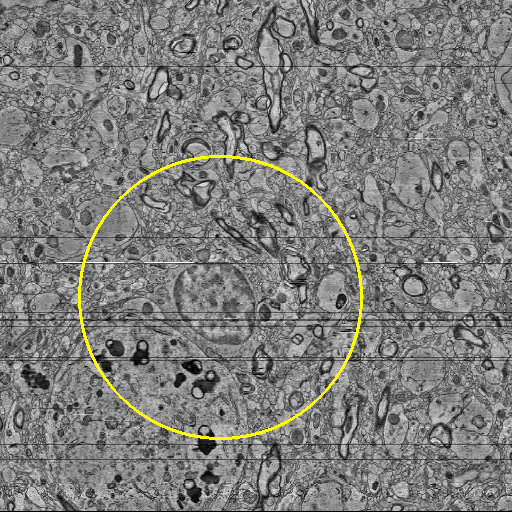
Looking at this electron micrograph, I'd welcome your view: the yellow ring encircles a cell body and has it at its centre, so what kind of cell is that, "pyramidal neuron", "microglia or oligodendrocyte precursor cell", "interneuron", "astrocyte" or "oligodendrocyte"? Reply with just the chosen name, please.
oligodendrocyte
